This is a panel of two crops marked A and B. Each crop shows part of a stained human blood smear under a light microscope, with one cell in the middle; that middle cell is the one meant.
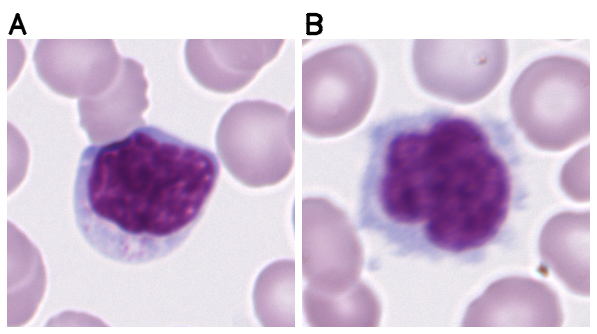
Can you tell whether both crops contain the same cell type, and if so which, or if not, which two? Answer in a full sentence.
No, the assignment should read crop A, a typical lymphocyte; crop B, a hairy cell.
